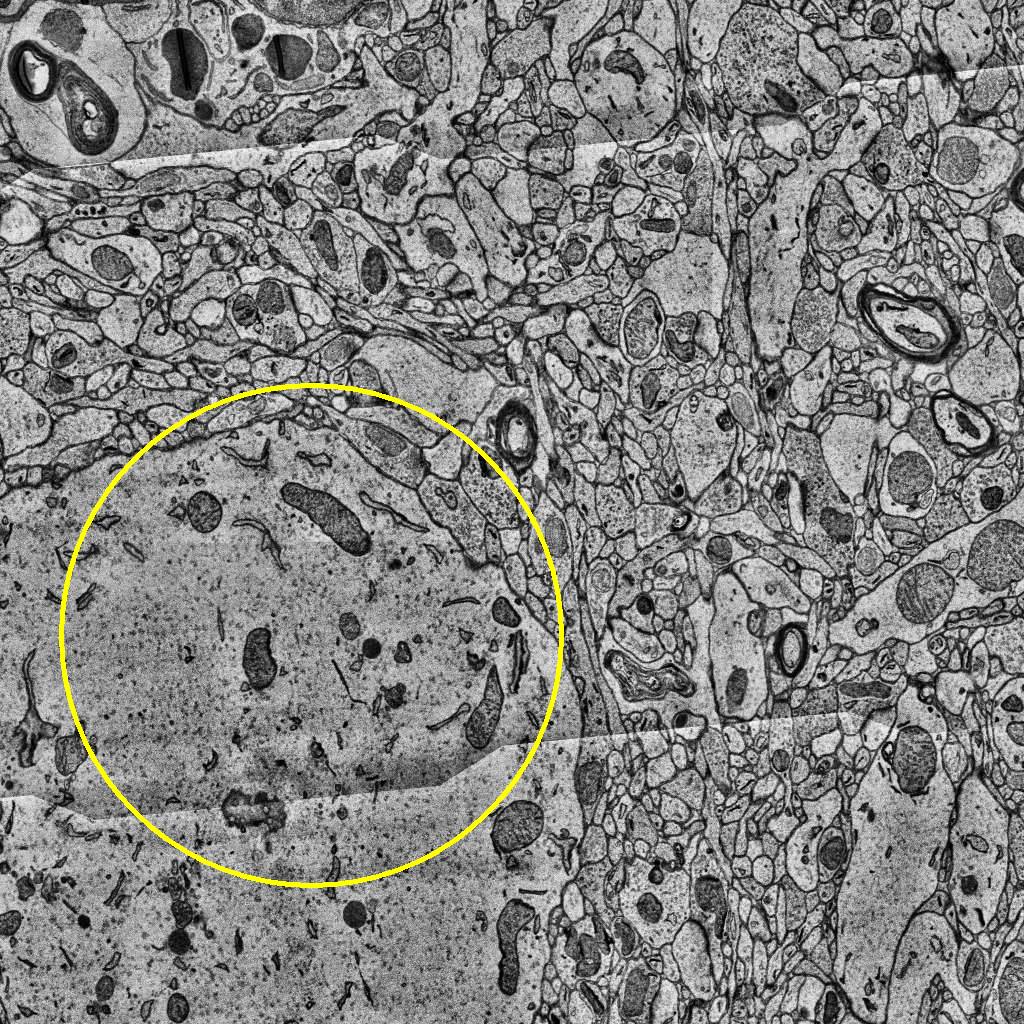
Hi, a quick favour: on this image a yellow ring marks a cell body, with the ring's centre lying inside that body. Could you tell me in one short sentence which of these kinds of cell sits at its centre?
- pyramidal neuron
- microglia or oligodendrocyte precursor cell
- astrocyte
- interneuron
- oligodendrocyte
The ring's centre lies in a pyramidal neuron.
